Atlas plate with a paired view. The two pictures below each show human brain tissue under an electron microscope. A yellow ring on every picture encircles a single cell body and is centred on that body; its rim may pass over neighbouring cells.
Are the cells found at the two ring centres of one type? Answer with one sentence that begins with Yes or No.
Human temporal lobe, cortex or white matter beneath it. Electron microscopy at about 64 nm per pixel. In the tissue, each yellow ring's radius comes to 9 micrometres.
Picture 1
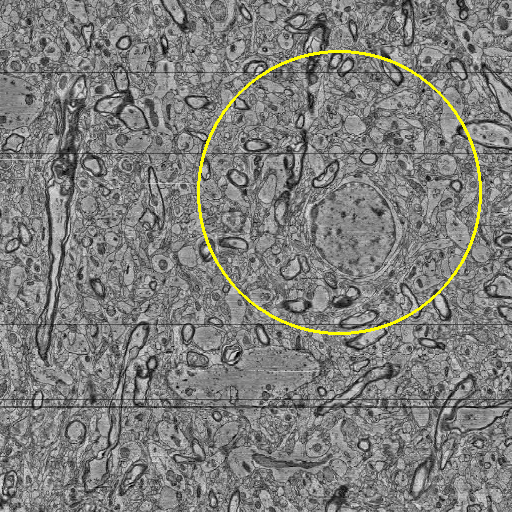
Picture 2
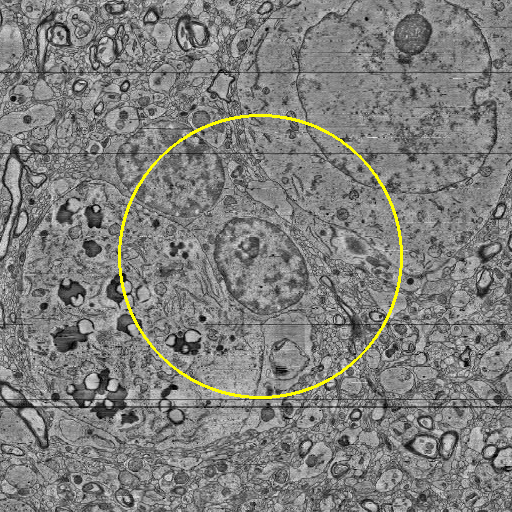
No, the two cells lying at the centres of the rings are of two types.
